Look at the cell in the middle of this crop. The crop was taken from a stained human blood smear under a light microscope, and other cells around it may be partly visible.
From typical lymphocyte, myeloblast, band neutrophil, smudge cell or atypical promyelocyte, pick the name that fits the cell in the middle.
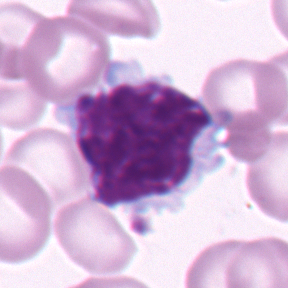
typical lymphocyte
